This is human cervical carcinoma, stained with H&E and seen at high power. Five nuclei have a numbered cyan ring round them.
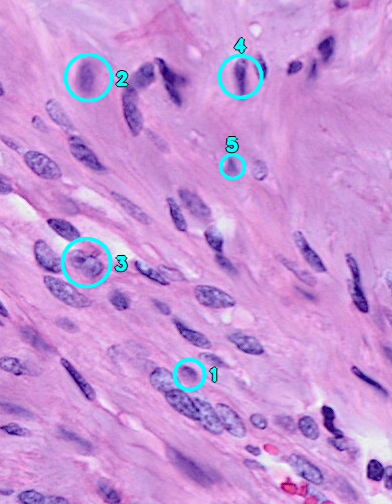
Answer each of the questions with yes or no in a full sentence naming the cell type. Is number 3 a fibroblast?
No, cell 3 is not a fibroblast: it is an endothelial cell.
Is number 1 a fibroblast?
No, cell 1 is identified not as a fibroblast but as an endothelial cell.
